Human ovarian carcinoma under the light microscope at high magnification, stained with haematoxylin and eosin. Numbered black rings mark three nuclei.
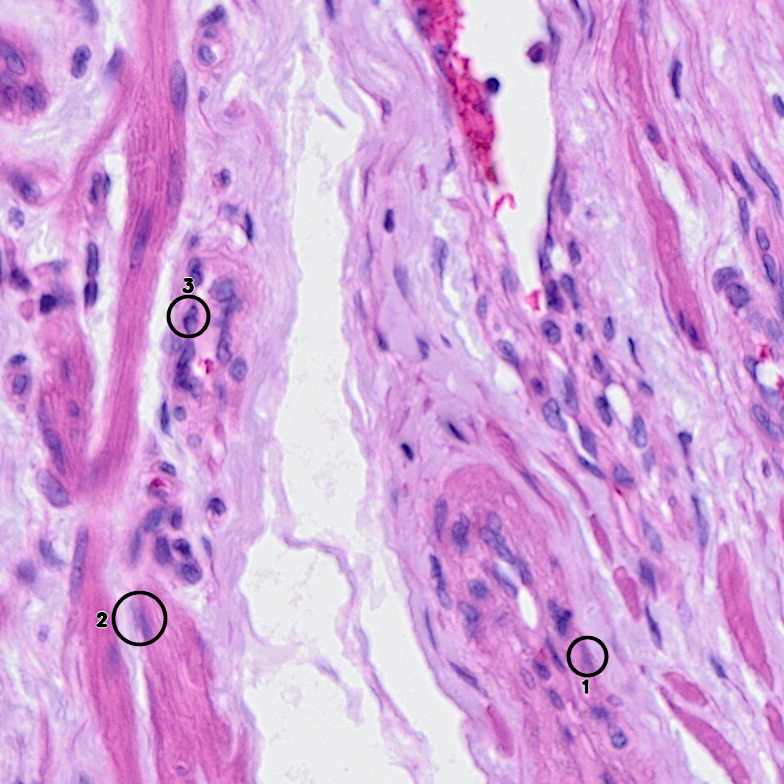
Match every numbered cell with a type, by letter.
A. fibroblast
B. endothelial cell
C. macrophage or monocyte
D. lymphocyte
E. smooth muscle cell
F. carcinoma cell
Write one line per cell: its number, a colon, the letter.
1: E
2: E
3: B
